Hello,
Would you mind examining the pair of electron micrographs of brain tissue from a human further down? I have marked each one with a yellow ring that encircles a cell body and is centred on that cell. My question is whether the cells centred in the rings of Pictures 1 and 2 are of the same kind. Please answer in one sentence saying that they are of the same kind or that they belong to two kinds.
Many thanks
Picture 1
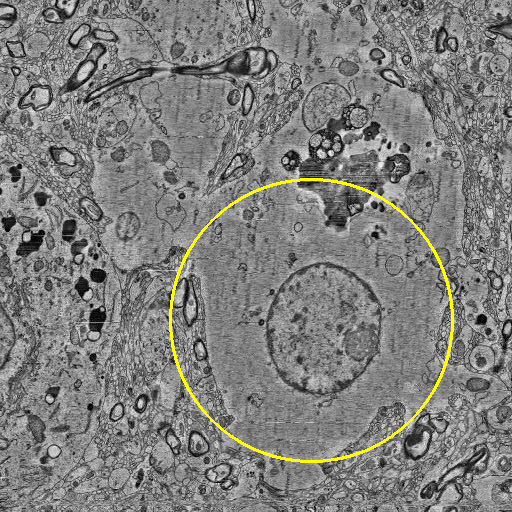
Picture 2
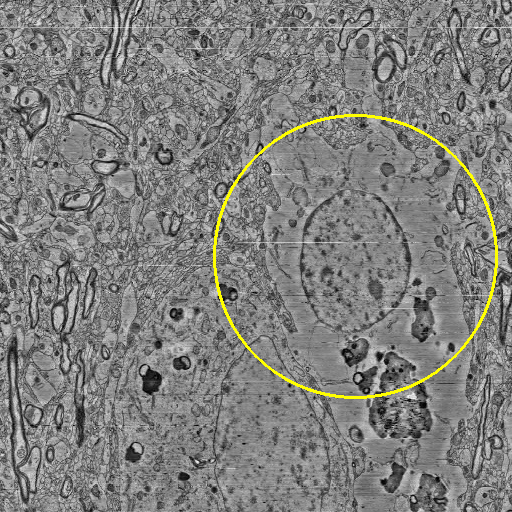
In Pictures 1 and 2, the cells at the heart of the rings are of the same kind.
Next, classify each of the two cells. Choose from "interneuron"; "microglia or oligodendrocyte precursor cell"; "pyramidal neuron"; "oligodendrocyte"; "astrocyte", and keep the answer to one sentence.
In each picture the ringed cell is an astrocyte.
